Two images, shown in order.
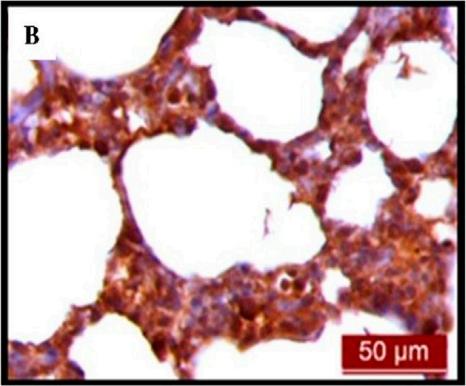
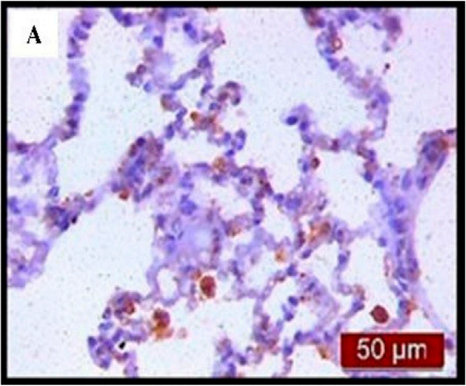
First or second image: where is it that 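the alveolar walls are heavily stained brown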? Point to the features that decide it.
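The first image. First image: septa between the air spaces are densely brown throughout. Second image: septa are mostly blue-purple, with only a few scattered brown cells.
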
